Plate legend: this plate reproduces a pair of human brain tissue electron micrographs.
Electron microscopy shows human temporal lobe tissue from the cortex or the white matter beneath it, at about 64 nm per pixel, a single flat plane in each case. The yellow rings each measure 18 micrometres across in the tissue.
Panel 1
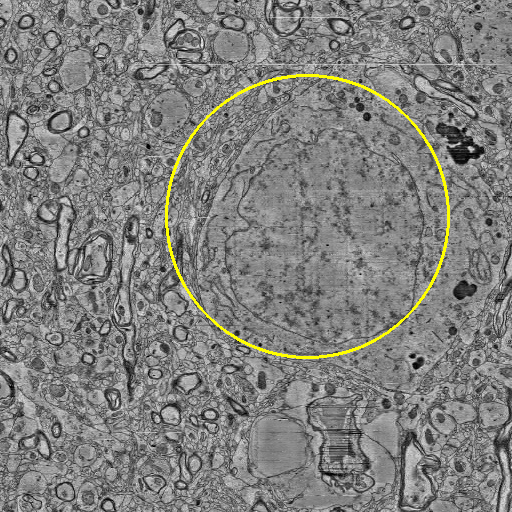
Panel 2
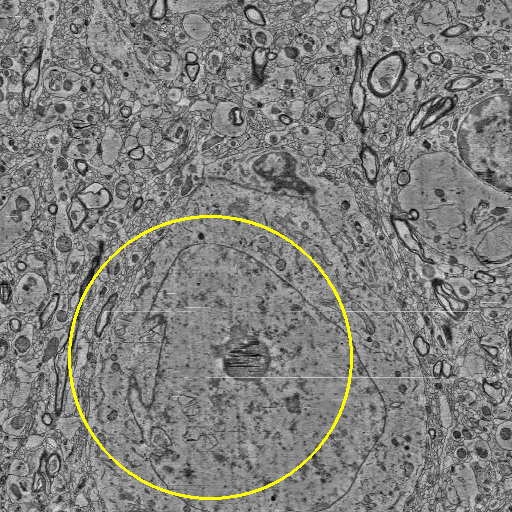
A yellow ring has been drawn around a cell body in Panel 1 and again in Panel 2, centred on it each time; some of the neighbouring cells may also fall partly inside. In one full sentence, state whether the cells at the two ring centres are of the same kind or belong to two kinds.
The ring-centred cells of Panel 1 and Panel 2 are of the same kind.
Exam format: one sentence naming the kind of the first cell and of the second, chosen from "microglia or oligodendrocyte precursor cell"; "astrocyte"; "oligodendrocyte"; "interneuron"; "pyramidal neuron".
Both rings mark a pyramidal neuron, one in each picture.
